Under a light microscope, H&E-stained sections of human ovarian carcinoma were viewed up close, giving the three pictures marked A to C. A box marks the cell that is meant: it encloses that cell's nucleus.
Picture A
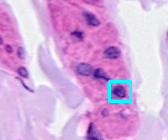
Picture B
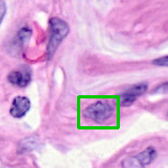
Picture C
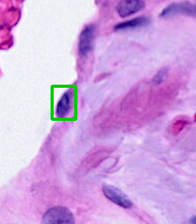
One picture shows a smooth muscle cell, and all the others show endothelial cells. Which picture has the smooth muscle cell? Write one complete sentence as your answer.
It is picture A that shows the smooth muscle cell.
